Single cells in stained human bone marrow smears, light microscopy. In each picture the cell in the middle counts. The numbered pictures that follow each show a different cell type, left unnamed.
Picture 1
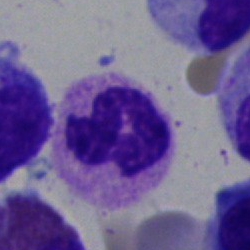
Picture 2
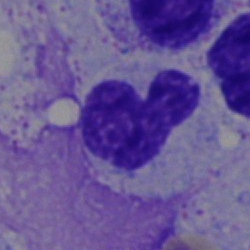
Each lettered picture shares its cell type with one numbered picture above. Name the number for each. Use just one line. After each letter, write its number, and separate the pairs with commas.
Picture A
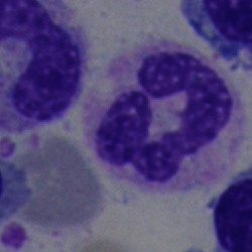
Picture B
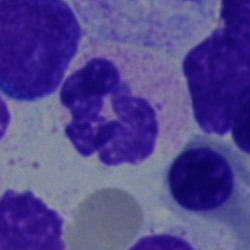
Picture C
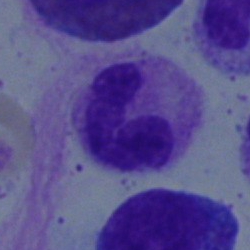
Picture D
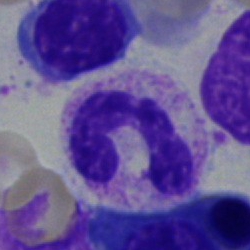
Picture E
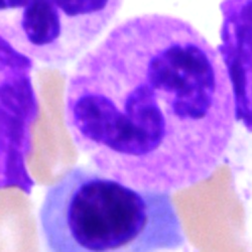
A 1, B 1, C 2, D 2, E 1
